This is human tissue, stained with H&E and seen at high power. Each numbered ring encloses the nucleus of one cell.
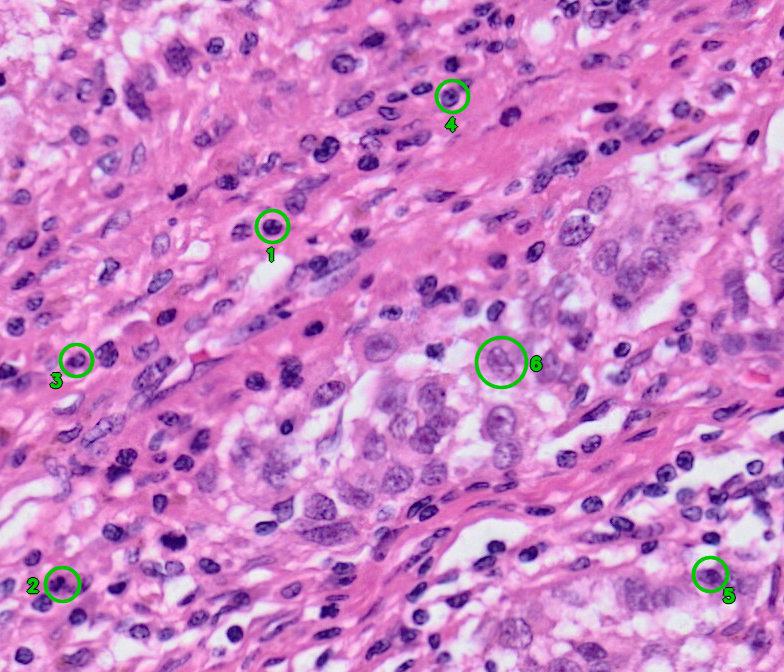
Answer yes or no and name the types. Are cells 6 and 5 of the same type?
Yes, both cells, 6 and 5, are melanoma cells.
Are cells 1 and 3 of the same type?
No, cell 1 is recognized as a lymphocyte, and cell 3 as a plasma cell.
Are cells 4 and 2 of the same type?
No, the identities are a lymphocyte for cell 4 and a plasma cell for cell 2.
